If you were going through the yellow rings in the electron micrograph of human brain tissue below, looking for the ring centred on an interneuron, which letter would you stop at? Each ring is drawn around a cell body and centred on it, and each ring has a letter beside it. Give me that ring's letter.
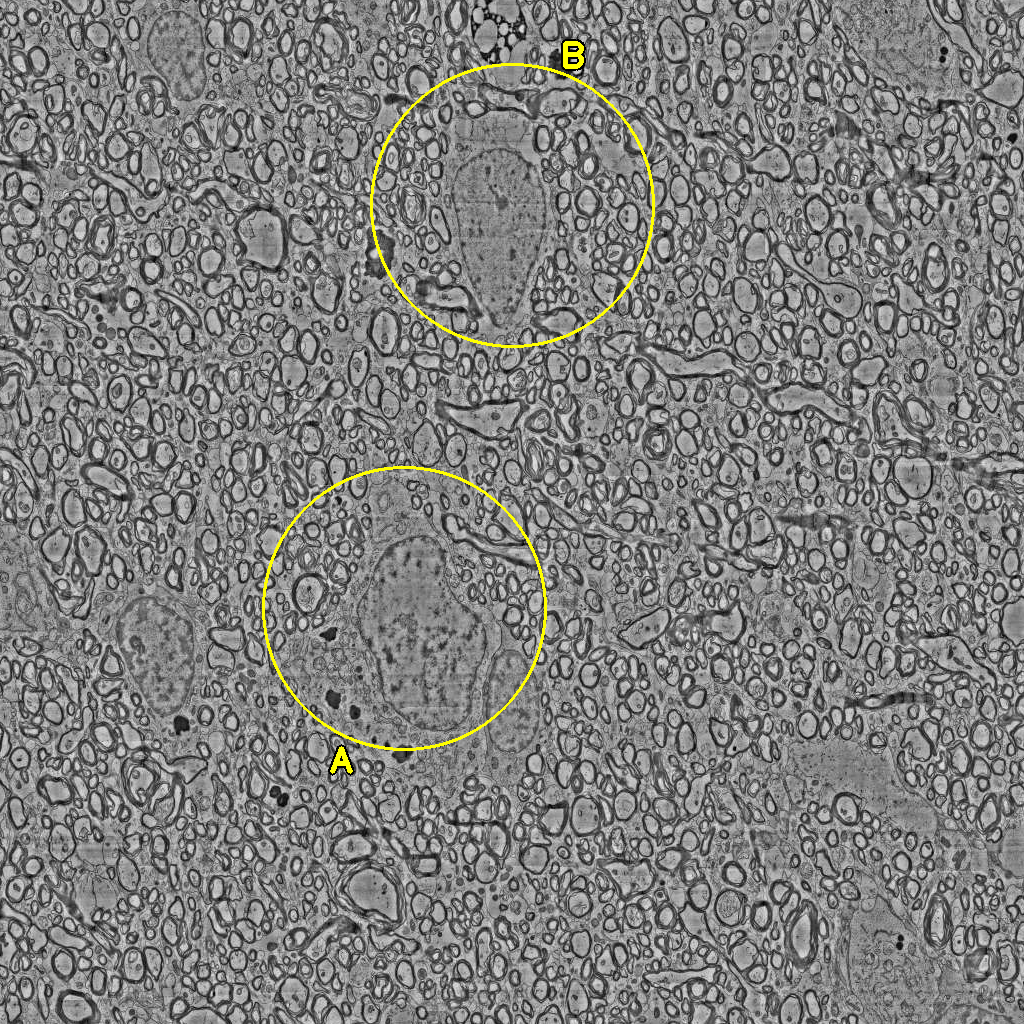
A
